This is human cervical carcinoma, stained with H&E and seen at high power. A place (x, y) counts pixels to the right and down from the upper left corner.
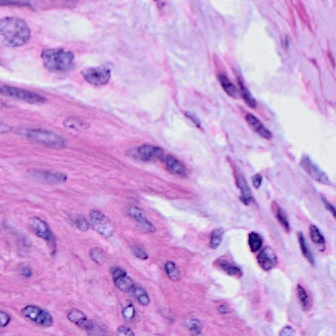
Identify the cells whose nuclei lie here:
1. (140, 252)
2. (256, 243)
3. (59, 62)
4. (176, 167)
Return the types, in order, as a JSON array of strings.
["smooth muscle cell", "lymphocyte", "macrophage or monocyte", "smooth muscle cell"]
